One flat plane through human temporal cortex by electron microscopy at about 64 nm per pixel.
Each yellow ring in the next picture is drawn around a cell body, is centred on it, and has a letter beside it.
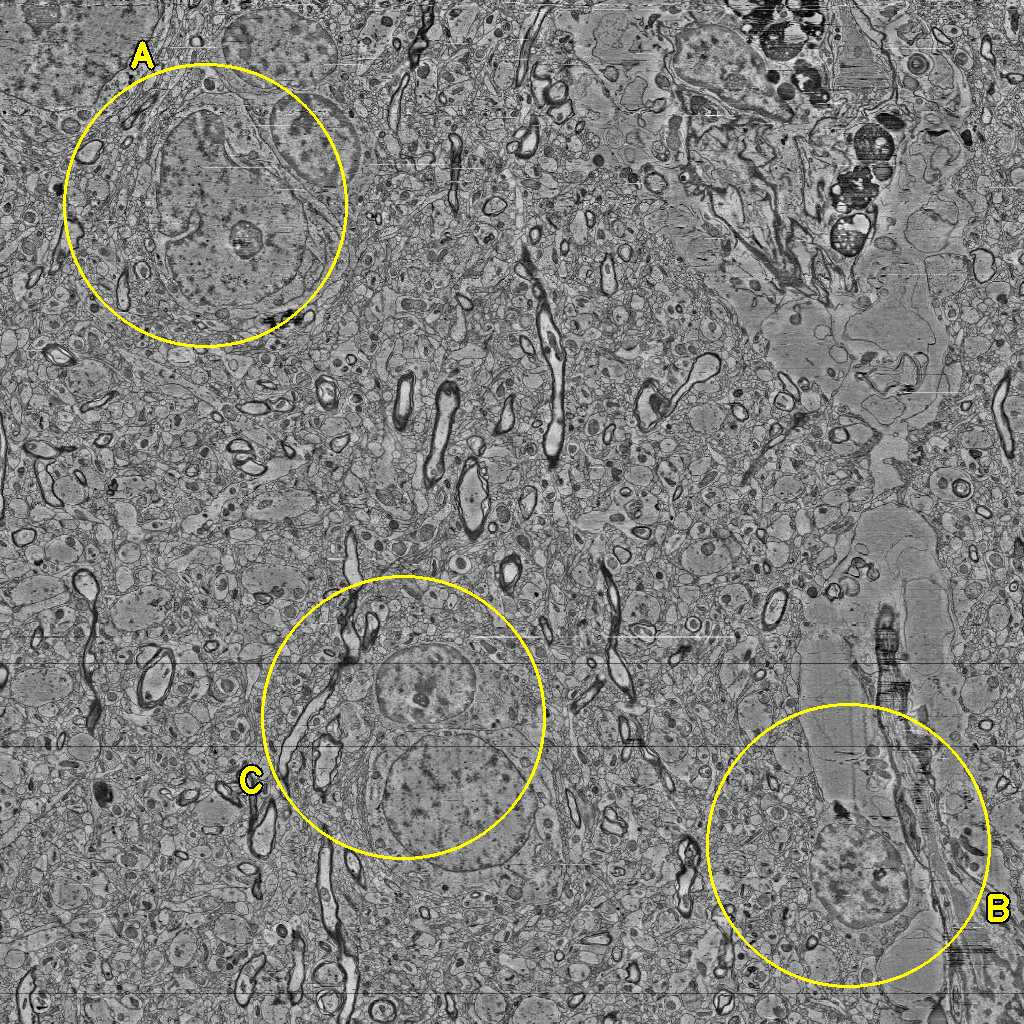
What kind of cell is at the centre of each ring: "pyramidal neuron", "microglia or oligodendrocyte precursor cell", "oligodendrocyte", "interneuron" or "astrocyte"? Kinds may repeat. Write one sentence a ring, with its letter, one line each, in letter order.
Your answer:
The centre of ring A falls on an interneuron.
The centre of ring B falls on an oligodendrocyte.
The centre of ring C falls on an oligodendrocyte.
